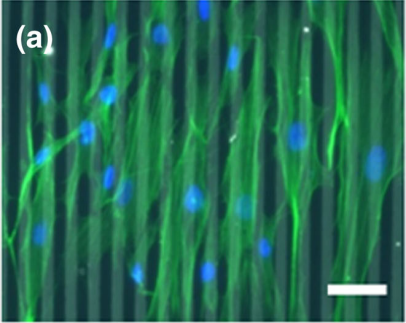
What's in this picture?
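The cells lie side by side in a loose sheet, with narrow gaps between some of them. Each cell has a single oval blue nucleus, itself elongated in the same direction as the cell body. Nearly all cells and their nuclei point the same way, giving the field a strongly aligned, combed appearance.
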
